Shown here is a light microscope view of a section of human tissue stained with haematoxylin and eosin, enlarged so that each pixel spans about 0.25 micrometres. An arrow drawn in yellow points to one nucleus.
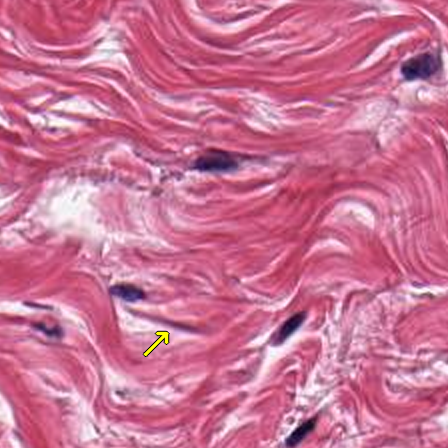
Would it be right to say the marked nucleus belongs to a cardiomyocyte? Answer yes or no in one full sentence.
No, the marked nucleus is not that of a cardiomyocyte but that of a supporting cell.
